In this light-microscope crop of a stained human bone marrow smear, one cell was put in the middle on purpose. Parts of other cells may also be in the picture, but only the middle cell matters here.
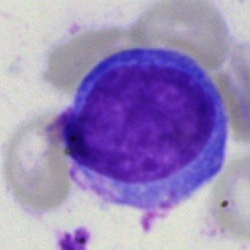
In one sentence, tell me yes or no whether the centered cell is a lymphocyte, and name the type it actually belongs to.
No, it is not a lymphocyte that lies in the middle but a blast.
